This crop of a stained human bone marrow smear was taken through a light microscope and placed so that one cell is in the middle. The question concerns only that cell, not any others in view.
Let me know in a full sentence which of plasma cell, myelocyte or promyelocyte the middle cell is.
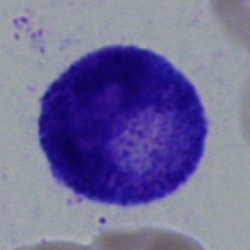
In the center of this field lies a promyelocyte.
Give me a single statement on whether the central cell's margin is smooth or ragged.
A smooth outline is absent here, replaced by ragged stretches or projections.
